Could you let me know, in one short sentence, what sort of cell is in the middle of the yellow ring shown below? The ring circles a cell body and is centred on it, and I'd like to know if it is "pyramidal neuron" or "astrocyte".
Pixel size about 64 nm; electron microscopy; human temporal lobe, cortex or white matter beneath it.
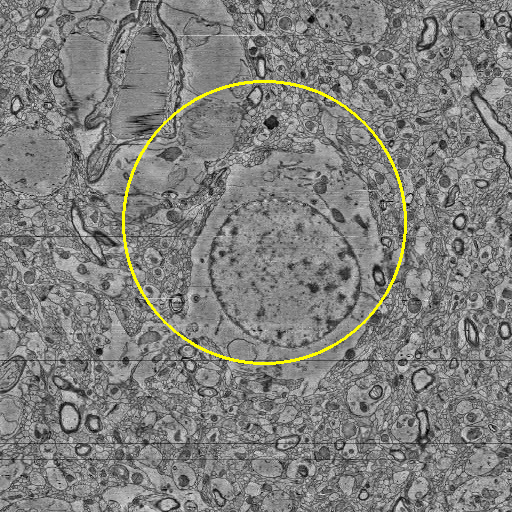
The ring circles the cell body of an astrocyte.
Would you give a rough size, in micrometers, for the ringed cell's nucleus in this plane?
The nucleus is approximately 10 micrometers across in this plane.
